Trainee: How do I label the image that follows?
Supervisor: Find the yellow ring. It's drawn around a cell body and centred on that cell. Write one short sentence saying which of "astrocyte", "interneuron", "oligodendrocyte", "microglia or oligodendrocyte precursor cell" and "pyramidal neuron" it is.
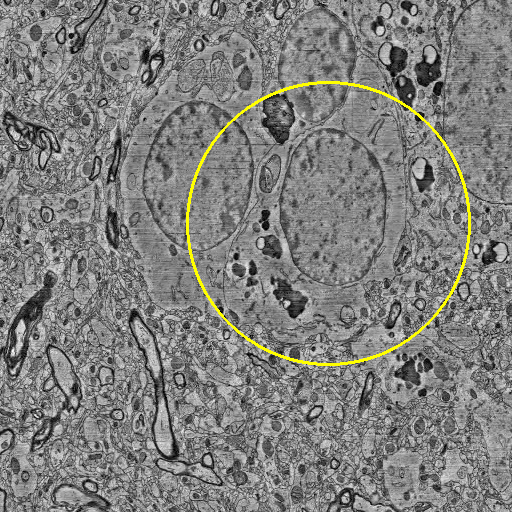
This is the cell body of an astrocyte.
